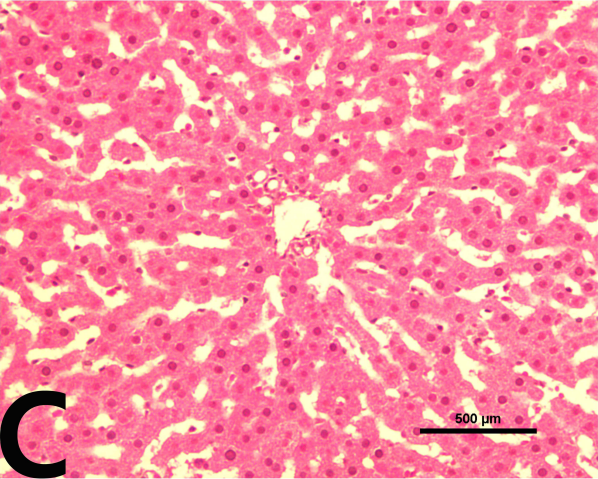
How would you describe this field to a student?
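This is liver parenchyma, with cords of hepatocytes radiating outward from a central vein in the middle of the field. The hepatocytes are polygonal, with evenly pink cytoplasm and round, centrally placed dark nuclei. Between the cords run narrow, pale, empty-looking sinusoidal spaces, giving the whole a regular spoke-like arrangement.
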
